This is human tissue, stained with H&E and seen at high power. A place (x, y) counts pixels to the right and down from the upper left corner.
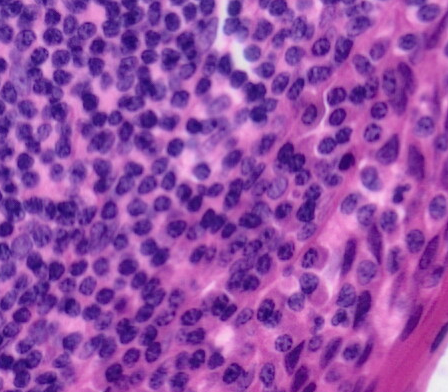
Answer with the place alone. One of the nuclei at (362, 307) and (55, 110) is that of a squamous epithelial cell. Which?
(362, 307)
